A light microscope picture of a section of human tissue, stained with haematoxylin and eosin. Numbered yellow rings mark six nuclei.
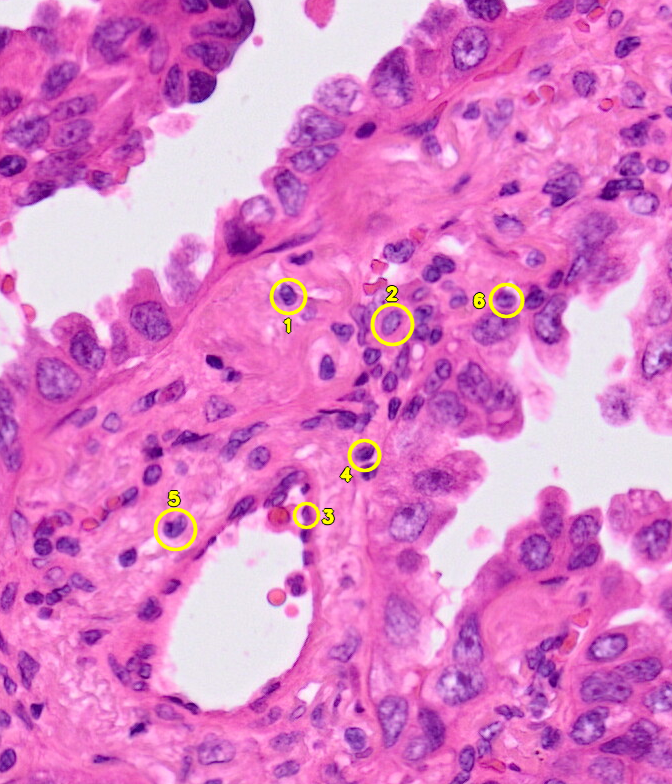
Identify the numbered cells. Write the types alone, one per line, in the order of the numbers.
lymphocyte
mast cell
endothelial cell
lymphocyte
lymphocyte
lymphocyte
